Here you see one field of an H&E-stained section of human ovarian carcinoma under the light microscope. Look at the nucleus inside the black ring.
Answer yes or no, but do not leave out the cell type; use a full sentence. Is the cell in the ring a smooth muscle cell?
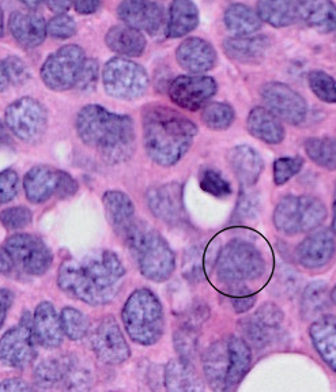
No, that is wrong: the cell in the ring is a carcinoma cell, not a smooth muscle cell.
